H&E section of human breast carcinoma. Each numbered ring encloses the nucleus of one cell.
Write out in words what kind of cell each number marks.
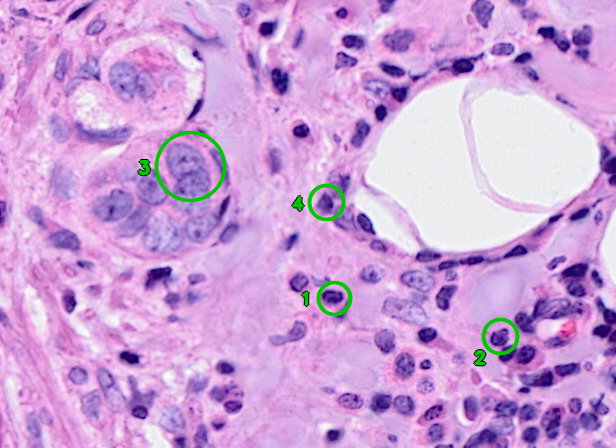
Cell 1 is a lymphocyte, cell 2 is a lymphocyte, cell 3 is a carcinoma cell and cell 4 is a lymphocyte.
